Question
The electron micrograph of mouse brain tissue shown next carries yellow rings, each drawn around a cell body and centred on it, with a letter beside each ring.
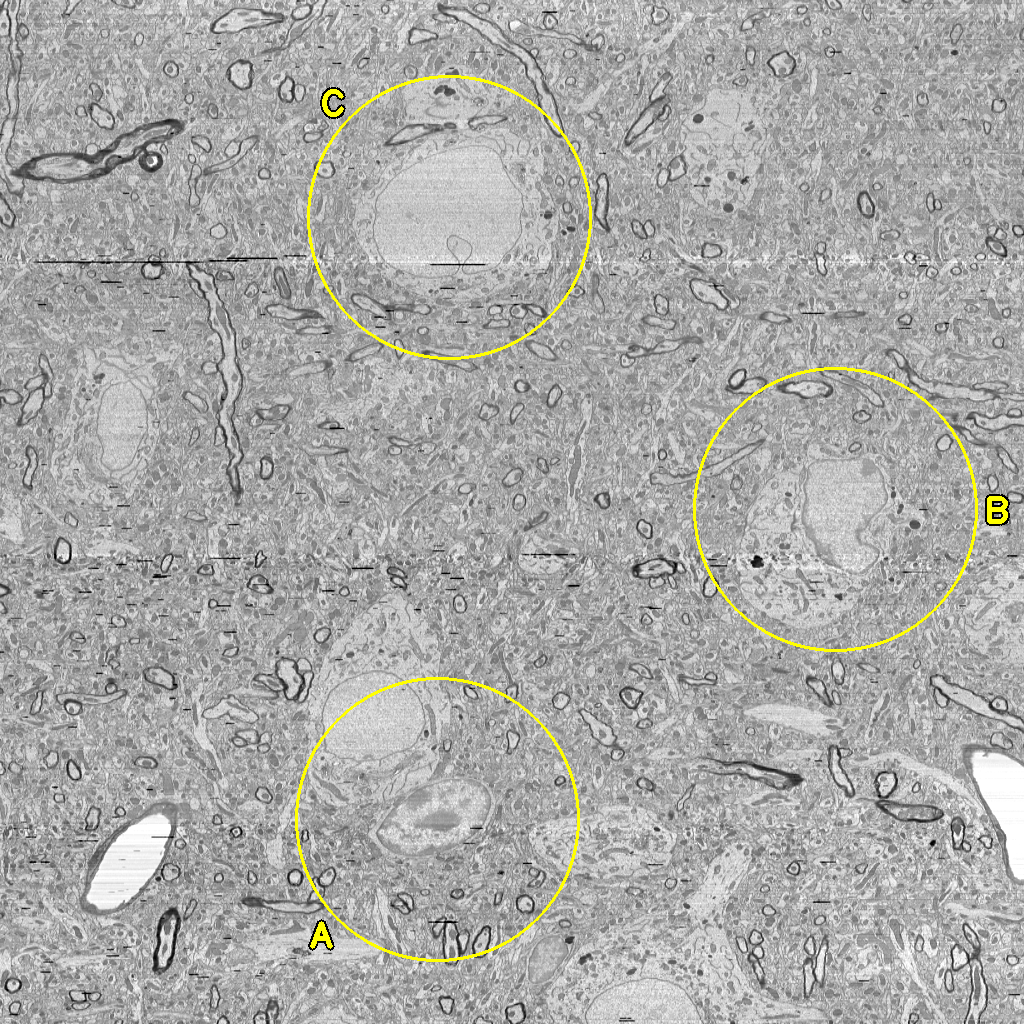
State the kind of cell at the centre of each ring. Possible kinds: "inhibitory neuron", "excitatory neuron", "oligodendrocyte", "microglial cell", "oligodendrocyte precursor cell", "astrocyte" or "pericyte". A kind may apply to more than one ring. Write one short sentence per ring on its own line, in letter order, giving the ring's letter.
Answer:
The cell centred in ring A is an oligodendrocyte.
The cell centred in ring B is an oligodendrocyte precursor cell.
The cell centred in ring C is an excitatory neuron.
